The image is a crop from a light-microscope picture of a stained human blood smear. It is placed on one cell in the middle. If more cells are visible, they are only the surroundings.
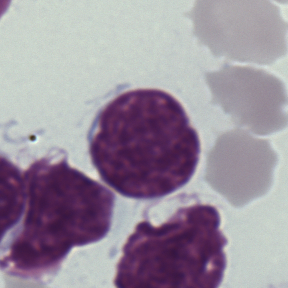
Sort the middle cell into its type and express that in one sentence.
The cell around which this crop is centred is a myeloblast.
